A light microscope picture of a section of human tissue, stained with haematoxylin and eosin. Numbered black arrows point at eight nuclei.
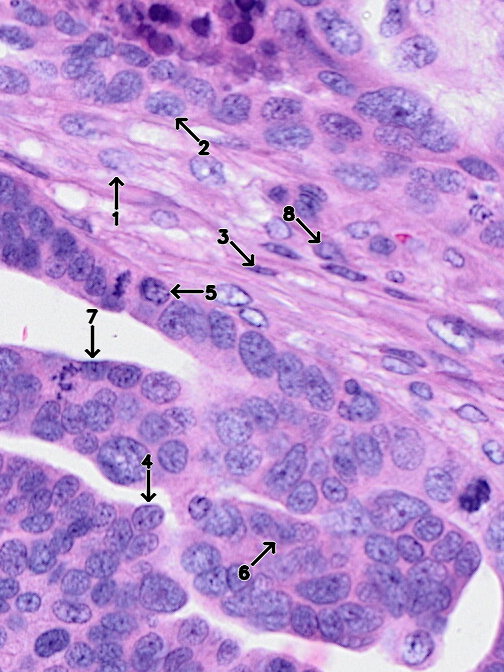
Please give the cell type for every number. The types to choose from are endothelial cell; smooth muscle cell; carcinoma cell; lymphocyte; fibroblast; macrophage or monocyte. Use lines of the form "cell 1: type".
cell 1: fibroblast
cell 2: carcinoma cell
cell 3: fibroblast
cell 4: carcinoma cell
cell 5: macrophage or monocyte
cell 6: carcinoma cell
cell 7: carcinoma cell
cell 8: fibroblast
